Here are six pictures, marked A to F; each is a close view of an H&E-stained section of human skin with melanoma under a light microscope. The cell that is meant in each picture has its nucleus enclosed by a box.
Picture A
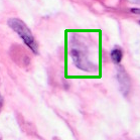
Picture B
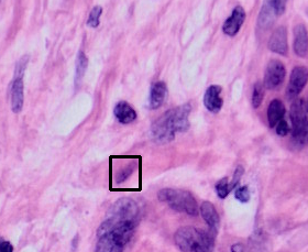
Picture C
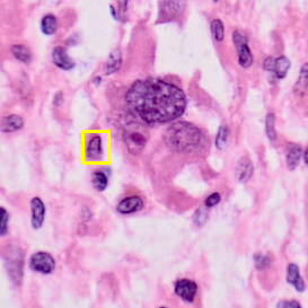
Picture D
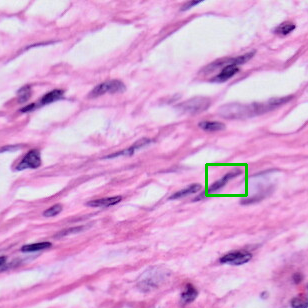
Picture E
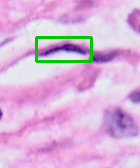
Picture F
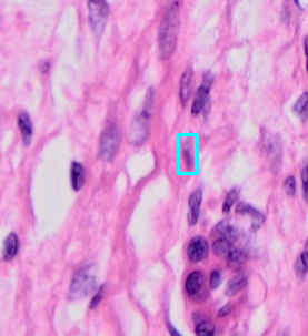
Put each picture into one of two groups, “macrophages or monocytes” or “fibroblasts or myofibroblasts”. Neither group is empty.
A: fibroblast or myofibroblast
B: macrophage or monocyte
C: macrophage or monocyte
D: fibroblast or myofibroblast
E: fibroblast or myofibroblast
F: fibroblast or myofibroblast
